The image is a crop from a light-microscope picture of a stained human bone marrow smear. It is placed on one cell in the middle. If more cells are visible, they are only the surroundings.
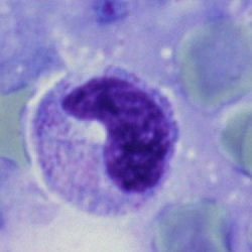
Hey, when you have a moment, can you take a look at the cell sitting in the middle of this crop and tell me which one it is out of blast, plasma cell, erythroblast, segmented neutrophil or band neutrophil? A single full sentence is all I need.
Standing at the centre of this crop is a band neutrophil.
